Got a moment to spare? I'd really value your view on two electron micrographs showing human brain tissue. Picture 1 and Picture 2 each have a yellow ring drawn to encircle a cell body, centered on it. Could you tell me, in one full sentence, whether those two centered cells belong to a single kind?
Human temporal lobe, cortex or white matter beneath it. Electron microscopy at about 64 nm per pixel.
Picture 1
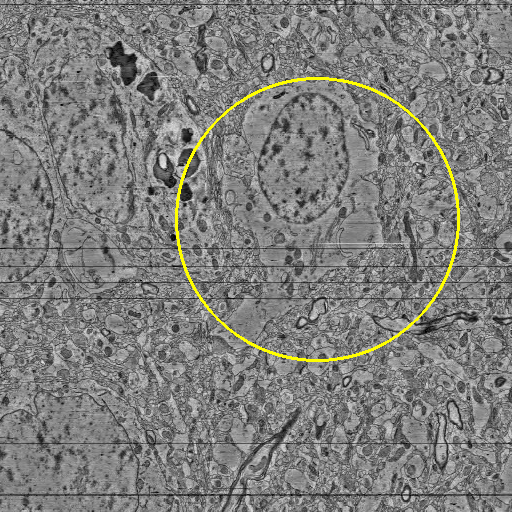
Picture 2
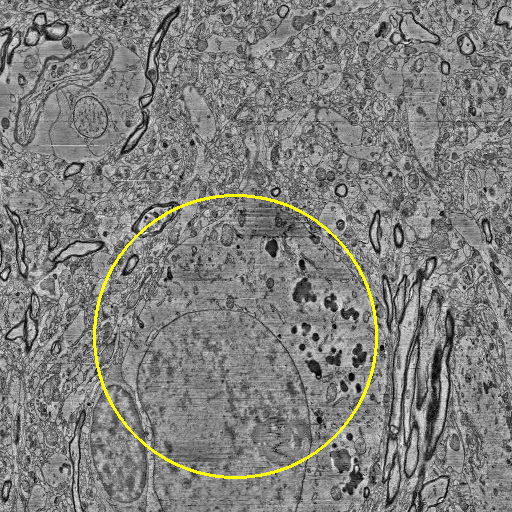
No, the two centered cells in Picture 1 and Picture 2 are of two kinds.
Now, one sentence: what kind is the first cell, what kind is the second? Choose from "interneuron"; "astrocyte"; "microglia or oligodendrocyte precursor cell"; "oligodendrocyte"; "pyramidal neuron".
The first picture has an astrocyte at its ring centre, and the second has a pyramidal neuron.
